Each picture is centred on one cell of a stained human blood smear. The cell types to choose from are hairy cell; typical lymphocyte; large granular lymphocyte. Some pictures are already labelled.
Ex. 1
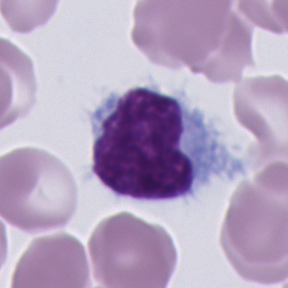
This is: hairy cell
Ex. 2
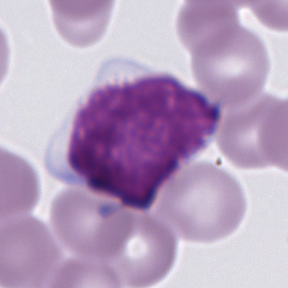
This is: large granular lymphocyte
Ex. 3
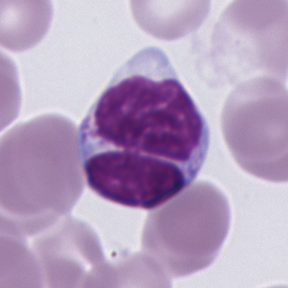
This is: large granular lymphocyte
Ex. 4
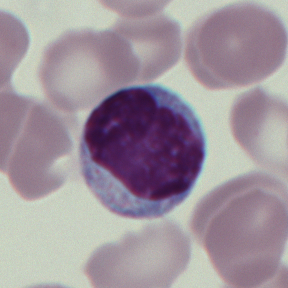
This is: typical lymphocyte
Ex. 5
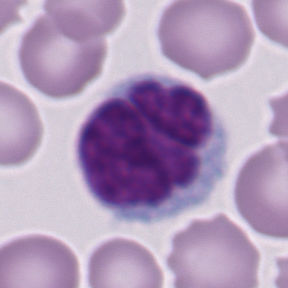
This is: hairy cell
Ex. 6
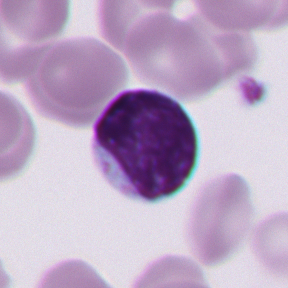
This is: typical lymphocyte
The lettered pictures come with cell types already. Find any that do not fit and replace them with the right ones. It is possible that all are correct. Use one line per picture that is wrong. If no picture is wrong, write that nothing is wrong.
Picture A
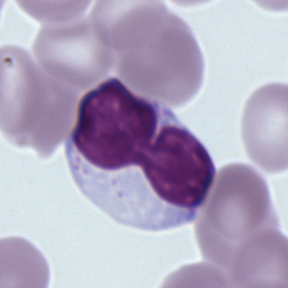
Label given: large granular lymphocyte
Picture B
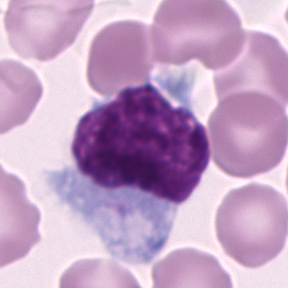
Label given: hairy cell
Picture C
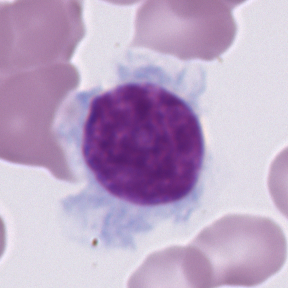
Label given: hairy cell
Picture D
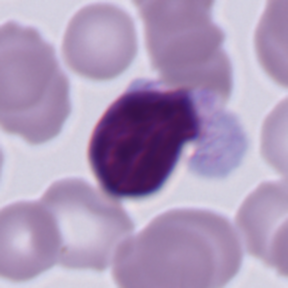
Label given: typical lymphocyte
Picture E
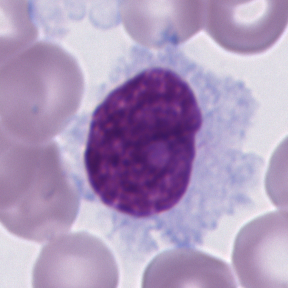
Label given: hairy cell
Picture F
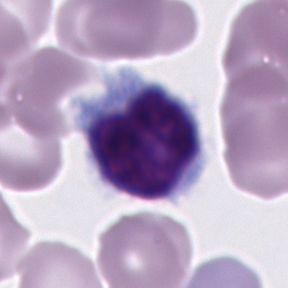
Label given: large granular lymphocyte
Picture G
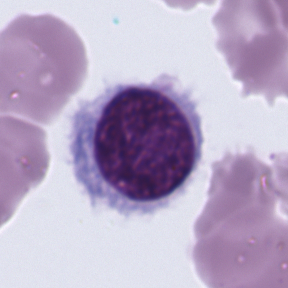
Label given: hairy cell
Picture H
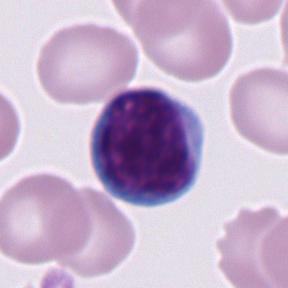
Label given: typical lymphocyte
F should be hairy cell, not large granular lymphocyte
